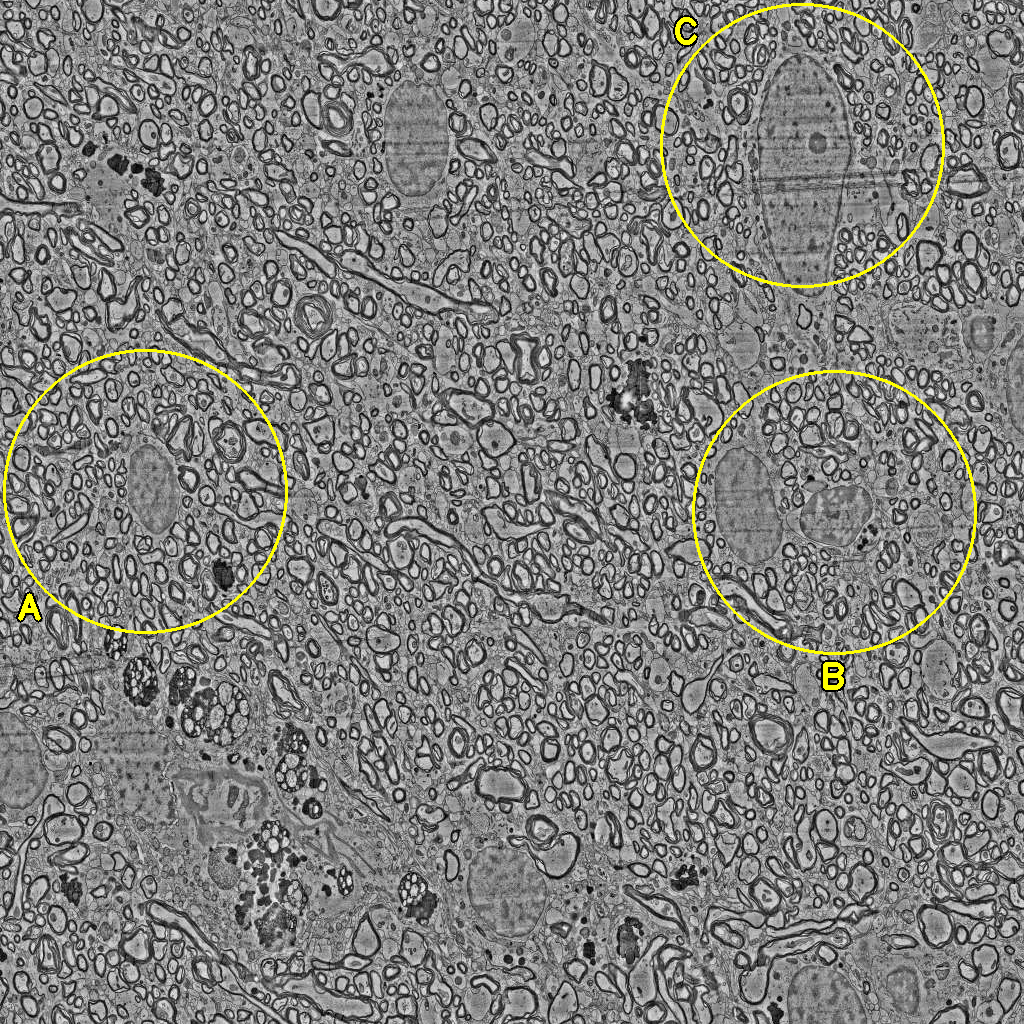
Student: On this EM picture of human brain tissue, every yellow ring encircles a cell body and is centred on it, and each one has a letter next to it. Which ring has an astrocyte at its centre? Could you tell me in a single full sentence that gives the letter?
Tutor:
Ring C is the one drawn around the cell you are asking about.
